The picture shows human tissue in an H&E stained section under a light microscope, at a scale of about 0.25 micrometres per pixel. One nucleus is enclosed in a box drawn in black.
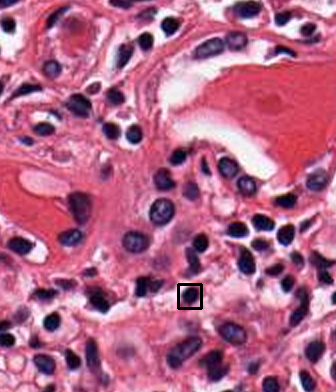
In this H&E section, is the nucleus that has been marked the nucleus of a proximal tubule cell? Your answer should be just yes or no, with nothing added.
no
